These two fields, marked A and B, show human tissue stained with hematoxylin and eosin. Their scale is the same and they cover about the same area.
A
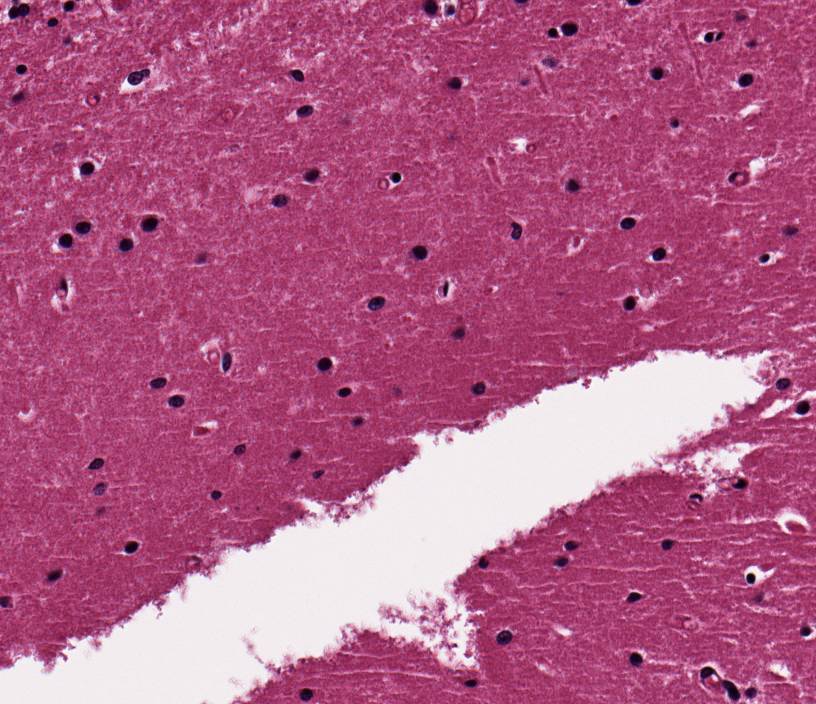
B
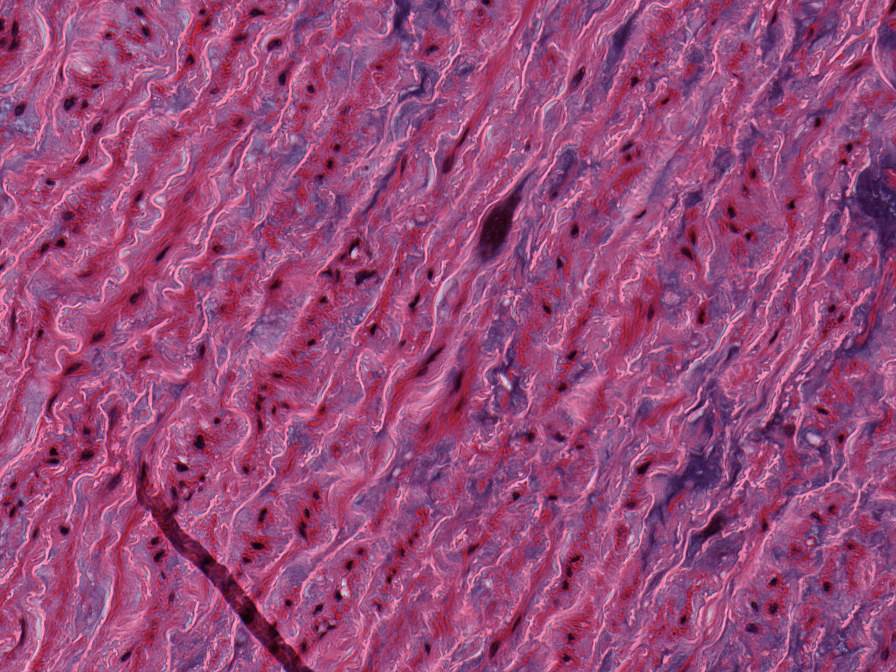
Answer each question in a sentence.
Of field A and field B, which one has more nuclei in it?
There are more nuclei in field B.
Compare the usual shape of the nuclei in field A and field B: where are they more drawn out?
On the whole the nuclei of field B are more drawn out than those of field A.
